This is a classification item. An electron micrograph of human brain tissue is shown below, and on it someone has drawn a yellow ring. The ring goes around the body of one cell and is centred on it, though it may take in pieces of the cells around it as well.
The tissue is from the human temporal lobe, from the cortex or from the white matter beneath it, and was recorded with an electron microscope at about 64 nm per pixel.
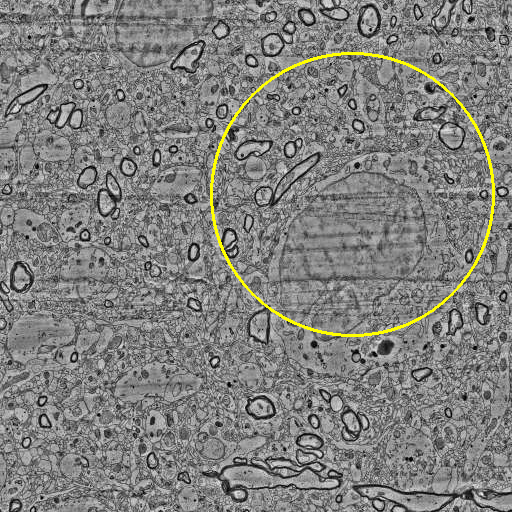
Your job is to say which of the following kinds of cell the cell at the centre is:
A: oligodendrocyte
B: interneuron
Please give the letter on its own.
B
